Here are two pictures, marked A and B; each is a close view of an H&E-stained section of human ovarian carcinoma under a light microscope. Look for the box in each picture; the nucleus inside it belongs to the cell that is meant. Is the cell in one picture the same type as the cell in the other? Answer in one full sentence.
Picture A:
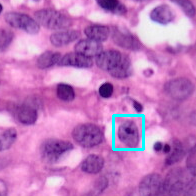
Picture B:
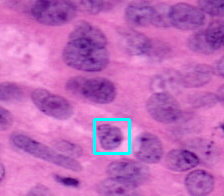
Yes; the cells in both pictures are “macrophages or monocytes”.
